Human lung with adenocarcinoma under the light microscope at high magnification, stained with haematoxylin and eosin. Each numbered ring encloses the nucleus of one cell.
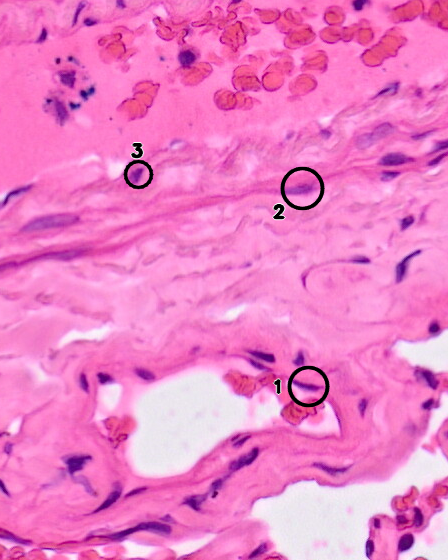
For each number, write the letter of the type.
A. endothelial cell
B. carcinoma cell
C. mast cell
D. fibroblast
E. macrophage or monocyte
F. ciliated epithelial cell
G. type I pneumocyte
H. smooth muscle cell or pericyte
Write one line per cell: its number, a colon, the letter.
1: A
2: H
3: H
